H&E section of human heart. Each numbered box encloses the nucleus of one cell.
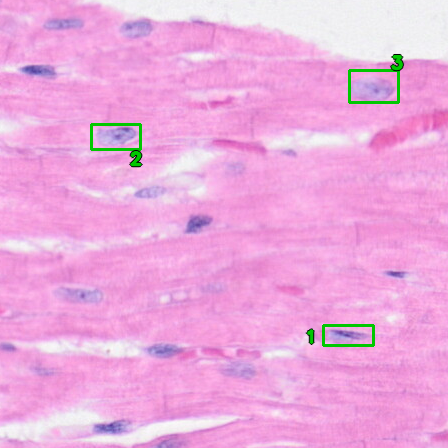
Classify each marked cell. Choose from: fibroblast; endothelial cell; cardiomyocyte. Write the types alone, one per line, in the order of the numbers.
endothelial cell
cardiomyocyte
cardiomyocyte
